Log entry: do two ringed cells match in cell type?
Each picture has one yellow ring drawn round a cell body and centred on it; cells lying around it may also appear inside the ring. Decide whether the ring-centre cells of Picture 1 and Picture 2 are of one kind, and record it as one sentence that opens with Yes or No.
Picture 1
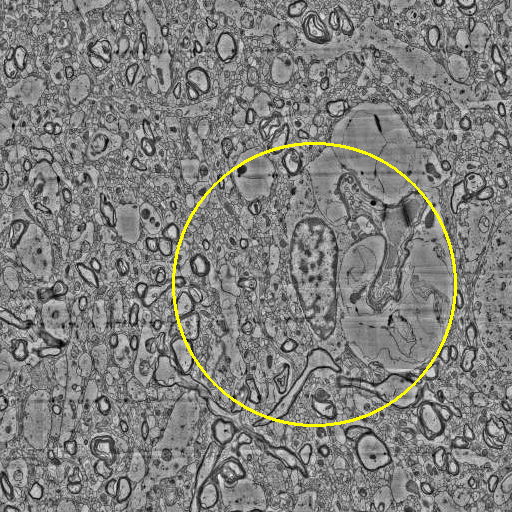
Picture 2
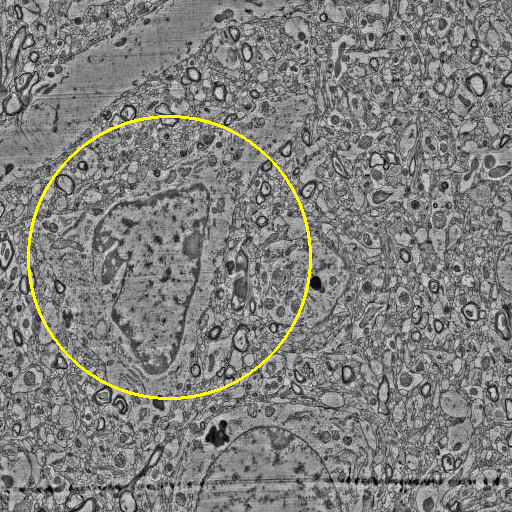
Yes, the cells at the ring centres of the two pictures belong to one kind.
